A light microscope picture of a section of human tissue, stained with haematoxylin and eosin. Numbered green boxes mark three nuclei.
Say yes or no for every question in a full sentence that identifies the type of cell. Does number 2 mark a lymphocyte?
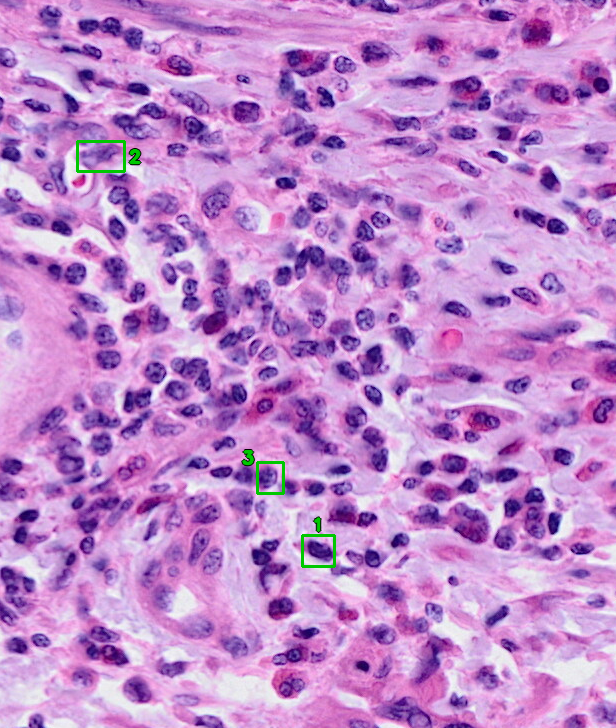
No, the cell that carries number 2 is an endothelial cell, not a lymphocyte.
